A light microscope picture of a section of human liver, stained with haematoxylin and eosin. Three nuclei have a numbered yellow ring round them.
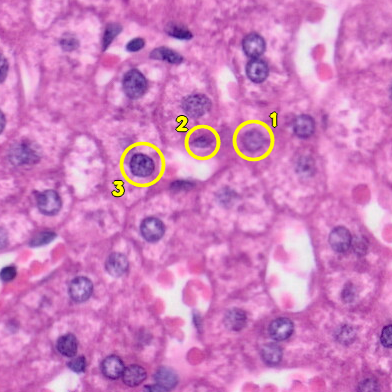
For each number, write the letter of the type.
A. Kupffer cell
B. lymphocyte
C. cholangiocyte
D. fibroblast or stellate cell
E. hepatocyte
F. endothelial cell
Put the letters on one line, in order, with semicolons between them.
E; D; E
